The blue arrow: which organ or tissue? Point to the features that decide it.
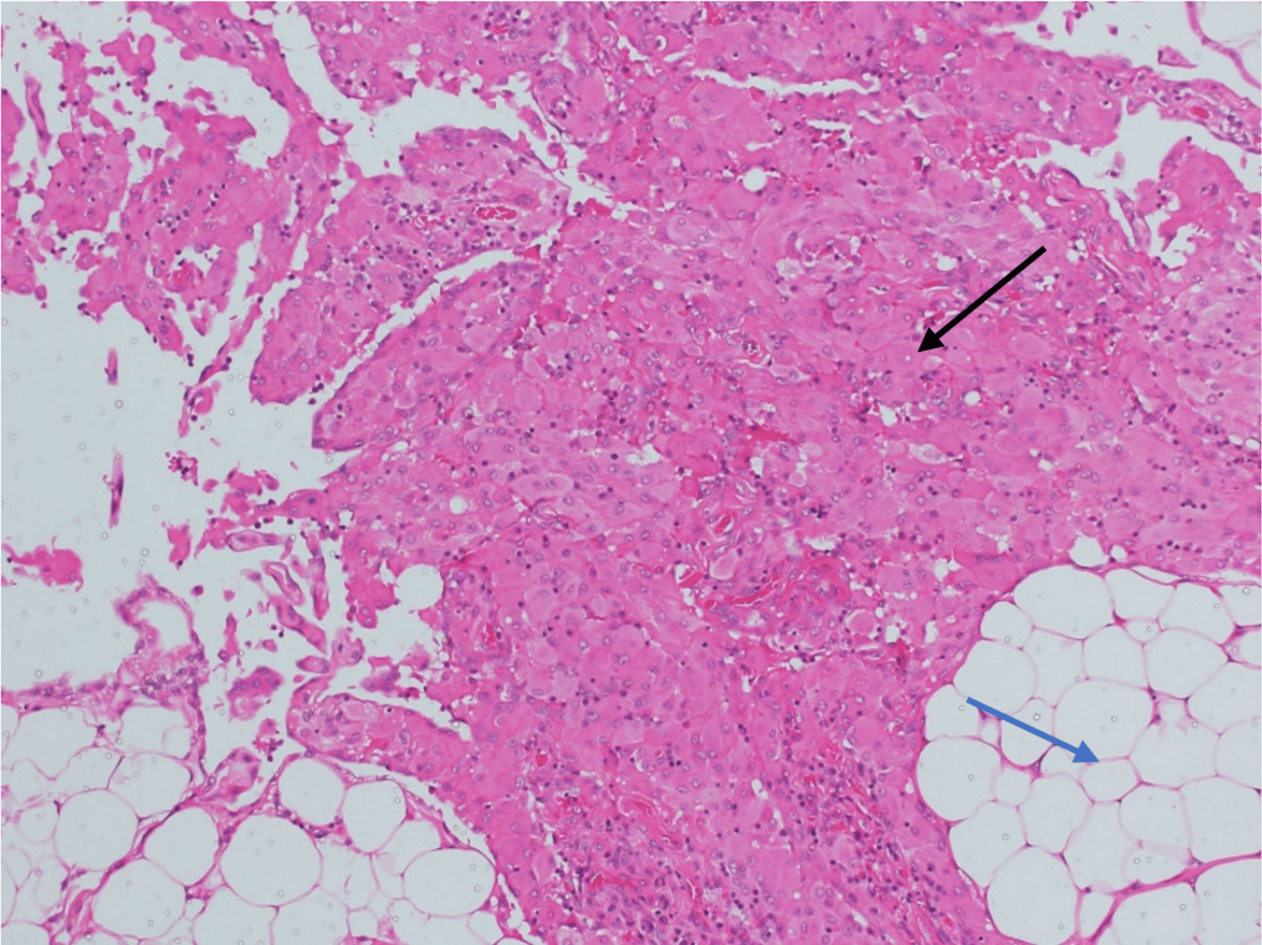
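Fibroadipose stroma. Large empty round to polygonal spaces bounded by thin pink membranes. Clusters of these fat cells at the lower corners beside the cellular mass. Thin fibrous strands between the lobules.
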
